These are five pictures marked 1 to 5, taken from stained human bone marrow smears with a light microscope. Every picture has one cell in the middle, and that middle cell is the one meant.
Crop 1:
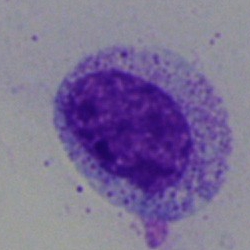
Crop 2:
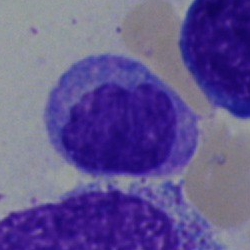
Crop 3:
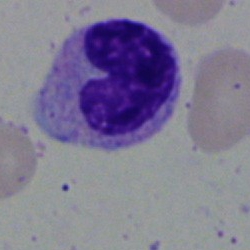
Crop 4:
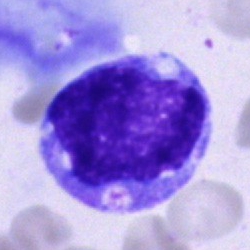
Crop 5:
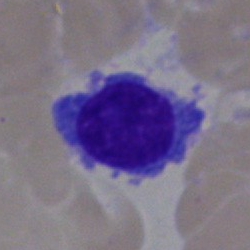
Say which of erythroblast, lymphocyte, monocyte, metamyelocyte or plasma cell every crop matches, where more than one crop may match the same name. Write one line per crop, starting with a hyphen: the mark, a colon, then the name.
- 1: metamyelocyte
- 2: monocyte
- 3: metamyelocyte
- 4: monocyte
- 5: plasma cell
